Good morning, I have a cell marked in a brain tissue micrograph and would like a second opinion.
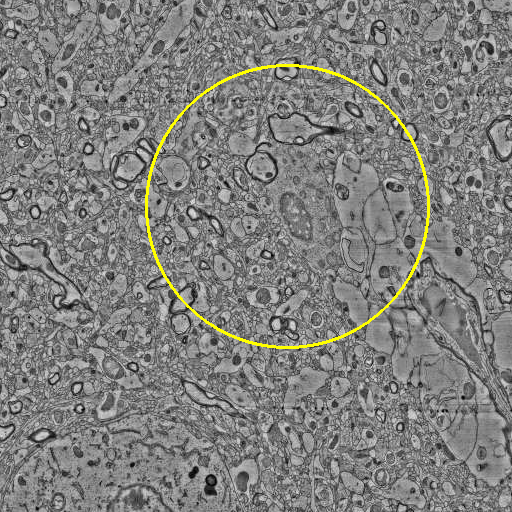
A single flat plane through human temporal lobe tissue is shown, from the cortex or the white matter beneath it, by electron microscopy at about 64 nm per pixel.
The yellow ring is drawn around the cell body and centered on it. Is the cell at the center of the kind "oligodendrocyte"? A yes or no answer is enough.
yes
